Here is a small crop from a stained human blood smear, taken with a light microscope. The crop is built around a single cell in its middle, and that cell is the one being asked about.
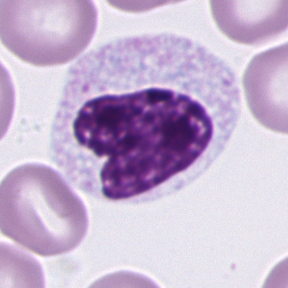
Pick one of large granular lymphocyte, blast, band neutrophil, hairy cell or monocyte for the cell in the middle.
band neutrophil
